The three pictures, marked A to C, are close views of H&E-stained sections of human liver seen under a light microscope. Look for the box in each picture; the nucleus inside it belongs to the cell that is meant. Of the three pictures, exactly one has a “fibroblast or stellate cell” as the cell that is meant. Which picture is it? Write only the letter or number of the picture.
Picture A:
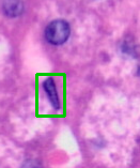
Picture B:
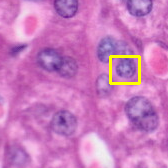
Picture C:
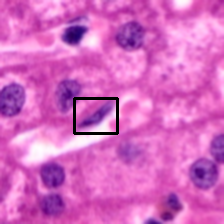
A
